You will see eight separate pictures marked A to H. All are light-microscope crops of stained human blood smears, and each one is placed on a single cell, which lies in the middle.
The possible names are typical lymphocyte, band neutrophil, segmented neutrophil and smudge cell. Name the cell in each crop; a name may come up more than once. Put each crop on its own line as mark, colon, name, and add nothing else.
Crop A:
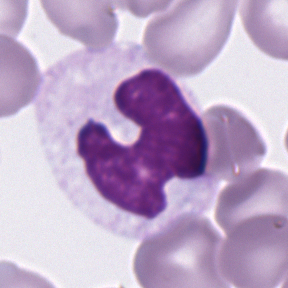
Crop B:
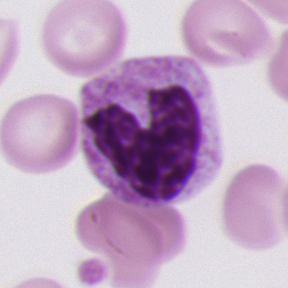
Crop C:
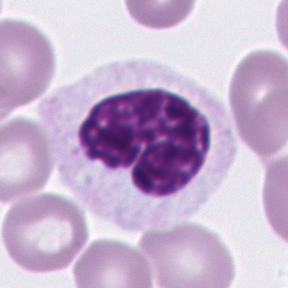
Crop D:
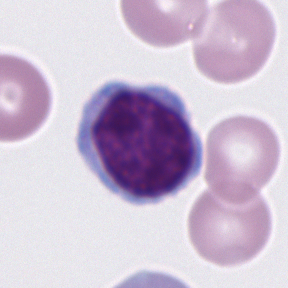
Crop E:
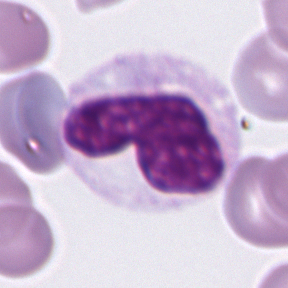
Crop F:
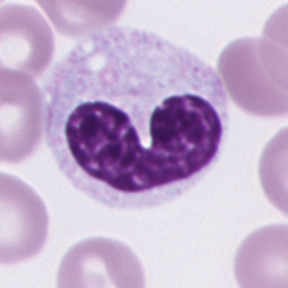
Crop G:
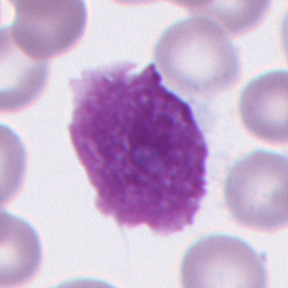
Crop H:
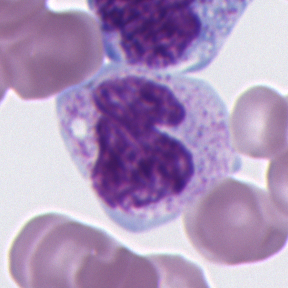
A: band neutrophil
B: band neutrophil
C: band neutrophil
D: typical lymphocyte
E: band neutrophil
F: band neutrophil
G: smudge cell
H: band neutrophil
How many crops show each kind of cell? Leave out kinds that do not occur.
band neutrophil: 6
typical lymphocyte: 1
smudge cell: 1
